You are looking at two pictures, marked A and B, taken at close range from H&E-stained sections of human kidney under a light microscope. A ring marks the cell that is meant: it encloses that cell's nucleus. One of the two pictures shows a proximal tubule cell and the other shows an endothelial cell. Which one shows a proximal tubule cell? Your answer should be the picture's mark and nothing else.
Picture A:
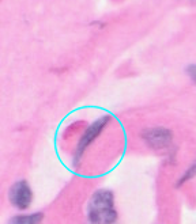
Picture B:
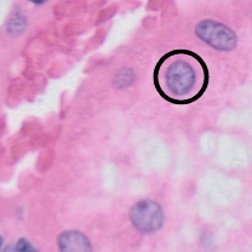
B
